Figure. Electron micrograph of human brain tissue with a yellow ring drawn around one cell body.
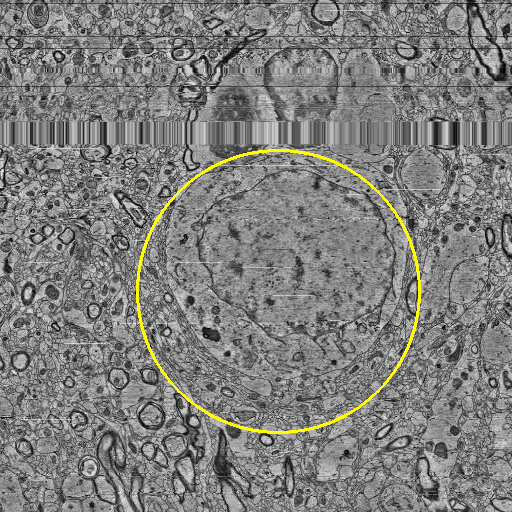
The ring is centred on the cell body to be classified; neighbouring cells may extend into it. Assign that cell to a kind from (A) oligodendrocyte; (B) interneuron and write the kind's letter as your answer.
B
